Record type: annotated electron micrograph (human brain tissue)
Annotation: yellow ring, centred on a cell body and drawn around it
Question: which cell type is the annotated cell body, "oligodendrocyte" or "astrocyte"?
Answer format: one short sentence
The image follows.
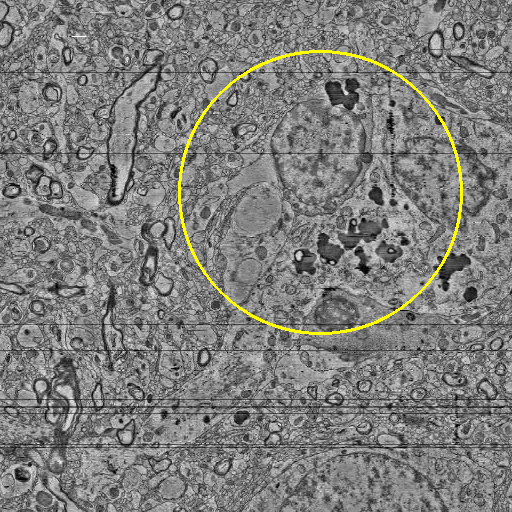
The annotated cell body is that of an oligodendrocyte.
